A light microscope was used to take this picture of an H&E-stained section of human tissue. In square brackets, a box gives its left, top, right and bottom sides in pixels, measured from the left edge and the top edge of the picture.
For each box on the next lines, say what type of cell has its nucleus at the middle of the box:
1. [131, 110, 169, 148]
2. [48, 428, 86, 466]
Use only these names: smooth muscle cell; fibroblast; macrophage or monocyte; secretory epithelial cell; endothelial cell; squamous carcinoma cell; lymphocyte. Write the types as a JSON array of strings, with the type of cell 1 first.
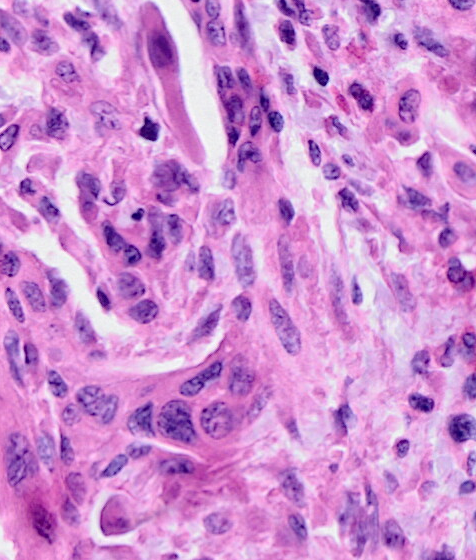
["lymphocyte", "squamous carcinoma cell"]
